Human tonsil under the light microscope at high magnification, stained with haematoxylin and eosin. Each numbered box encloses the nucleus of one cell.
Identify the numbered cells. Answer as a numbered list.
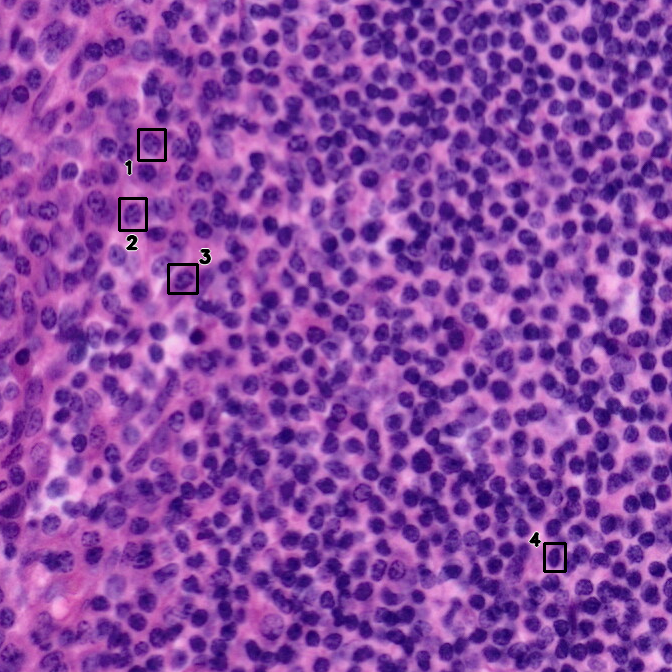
1. plasma cell
2. plasma cell
3. plasma cell
4. small lymphocyte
